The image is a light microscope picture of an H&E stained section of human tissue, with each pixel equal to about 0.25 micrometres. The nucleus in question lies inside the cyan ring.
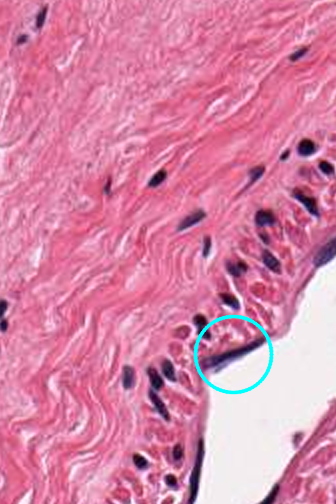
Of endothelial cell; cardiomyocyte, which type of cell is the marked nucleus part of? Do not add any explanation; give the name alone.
endothelial cell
